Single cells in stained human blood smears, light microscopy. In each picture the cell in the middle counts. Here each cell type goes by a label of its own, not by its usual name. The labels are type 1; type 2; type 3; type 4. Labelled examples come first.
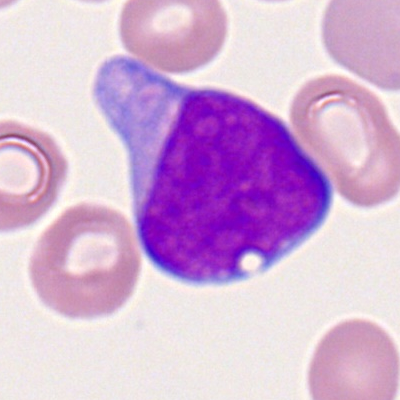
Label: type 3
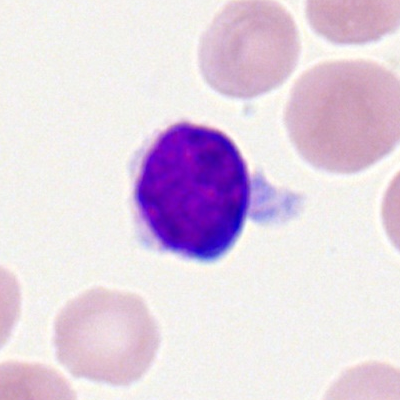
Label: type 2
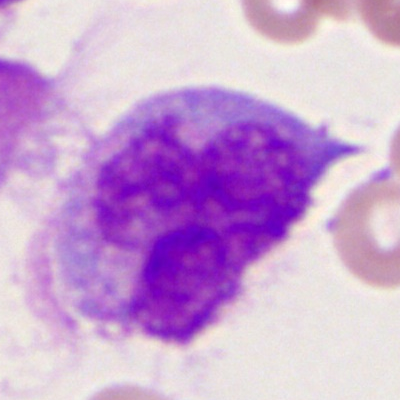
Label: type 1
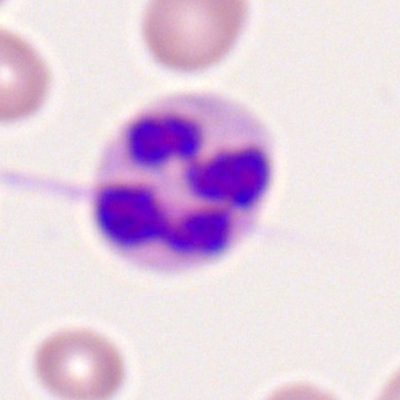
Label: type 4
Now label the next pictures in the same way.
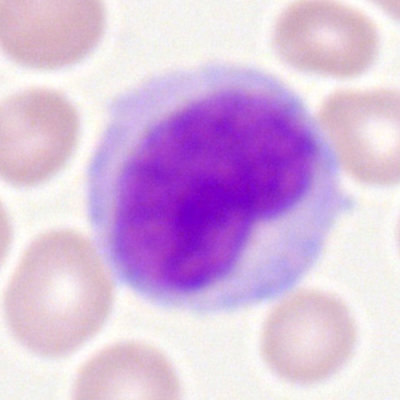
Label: type 1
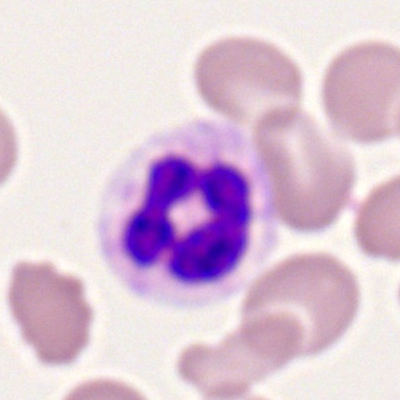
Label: type 4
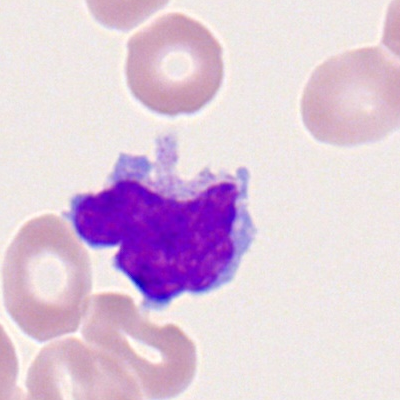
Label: type 2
